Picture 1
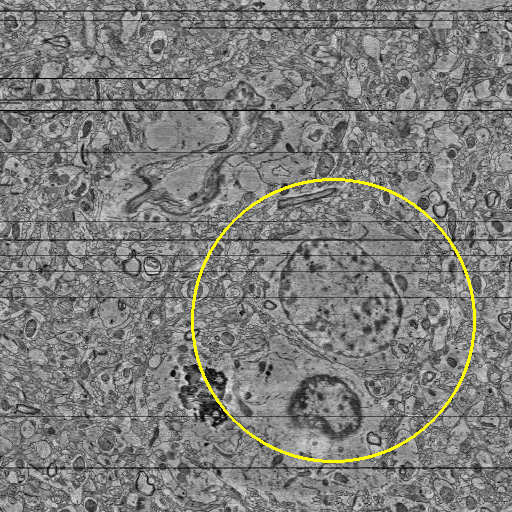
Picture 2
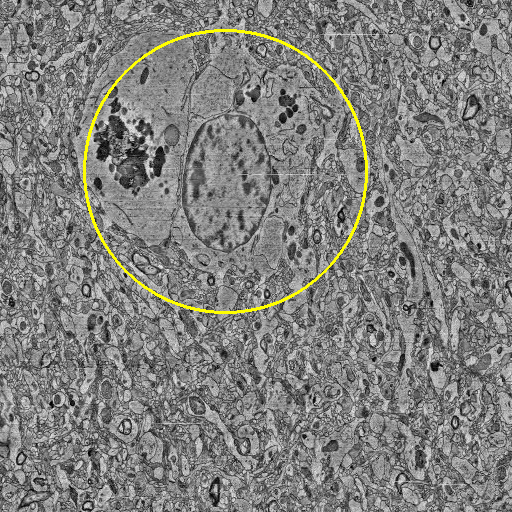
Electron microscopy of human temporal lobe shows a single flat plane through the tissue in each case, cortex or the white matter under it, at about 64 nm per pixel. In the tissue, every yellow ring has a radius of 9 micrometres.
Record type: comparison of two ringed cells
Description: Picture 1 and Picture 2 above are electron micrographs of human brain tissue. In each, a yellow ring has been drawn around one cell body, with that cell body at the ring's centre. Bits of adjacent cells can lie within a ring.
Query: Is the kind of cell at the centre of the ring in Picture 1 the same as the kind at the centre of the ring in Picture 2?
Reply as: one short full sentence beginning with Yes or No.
Yes, the two ringed cells are of the same kind.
